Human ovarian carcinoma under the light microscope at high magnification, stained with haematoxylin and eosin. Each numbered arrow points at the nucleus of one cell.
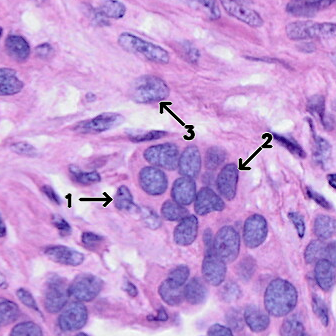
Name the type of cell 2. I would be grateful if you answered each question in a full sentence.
Recognised here as a carcinoma cell is the cell numbered 2.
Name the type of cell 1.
Heads up, the cell numbered 1 is a macrophage or monocyte.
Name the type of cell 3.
At number 3, the marked cell is a fibroblast.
